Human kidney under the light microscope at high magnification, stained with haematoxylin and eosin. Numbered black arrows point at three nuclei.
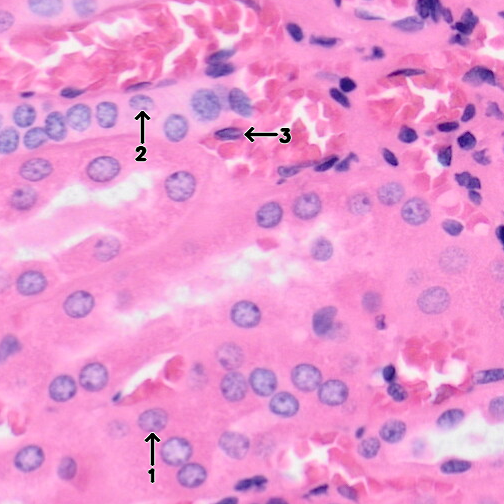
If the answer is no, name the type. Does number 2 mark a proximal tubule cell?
No, it is a collecting duct cell.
